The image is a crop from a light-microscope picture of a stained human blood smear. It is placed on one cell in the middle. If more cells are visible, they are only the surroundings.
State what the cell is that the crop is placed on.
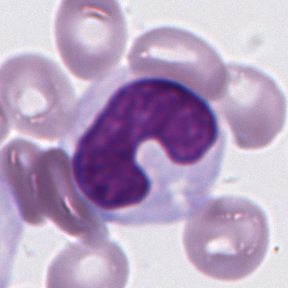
band neutrophil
